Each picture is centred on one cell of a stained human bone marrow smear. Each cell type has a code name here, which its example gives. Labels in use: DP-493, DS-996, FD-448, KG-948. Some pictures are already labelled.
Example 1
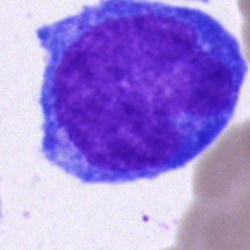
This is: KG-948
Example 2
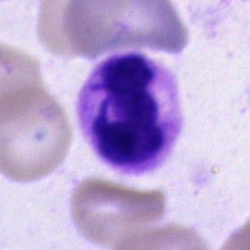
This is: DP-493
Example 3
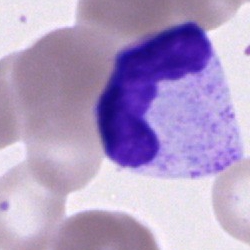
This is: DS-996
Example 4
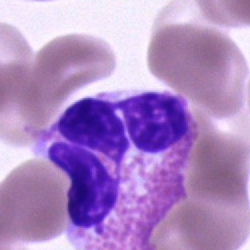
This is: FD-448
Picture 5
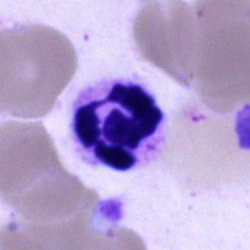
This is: DP-493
